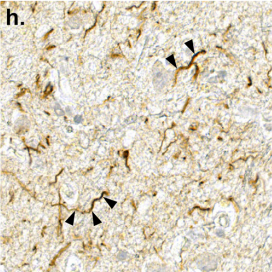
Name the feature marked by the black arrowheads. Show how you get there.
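The arrowheads flank short, thin, tortuous brown fibres. The fibres lie in the neuropil between cell bodies.
Neuropil thread.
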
